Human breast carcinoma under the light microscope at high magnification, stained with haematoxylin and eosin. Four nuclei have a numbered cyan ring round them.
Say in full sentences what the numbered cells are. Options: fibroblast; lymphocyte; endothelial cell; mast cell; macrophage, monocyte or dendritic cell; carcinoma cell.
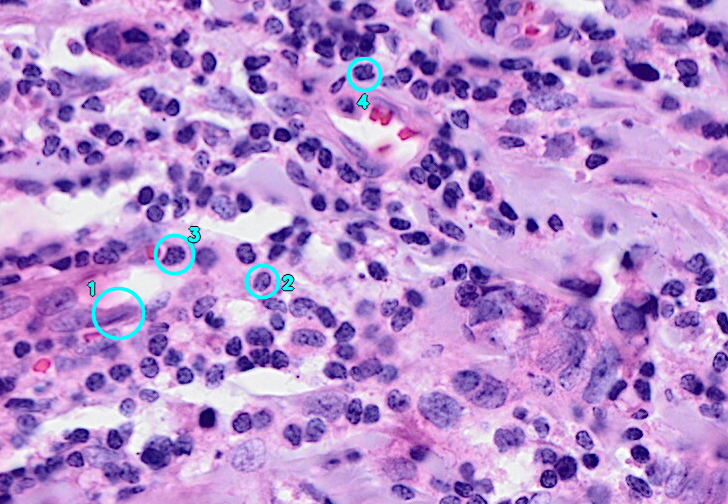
Cell 1 is an endothelial cell, cell 2 is a lymphocyte, cell 3 is a lymphocyte and cell 4 is a lymphocyte.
